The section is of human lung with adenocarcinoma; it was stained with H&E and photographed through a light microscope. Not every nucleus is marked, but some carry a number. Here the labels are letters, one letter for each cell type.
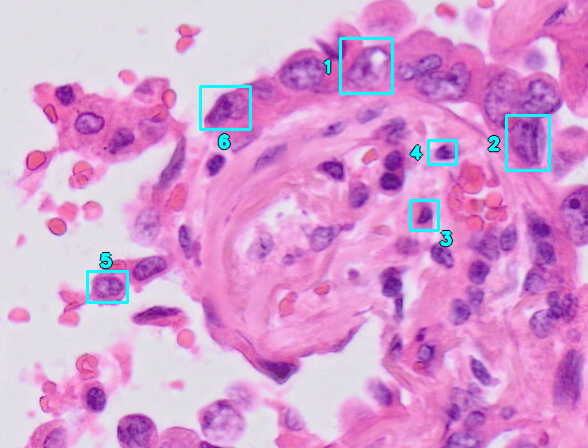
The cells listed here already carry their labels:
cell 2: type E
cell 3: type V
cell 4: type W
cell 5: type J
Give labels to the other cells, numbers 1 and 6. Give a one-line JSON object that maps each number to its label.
{"1": "type E", "6": "type E"}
